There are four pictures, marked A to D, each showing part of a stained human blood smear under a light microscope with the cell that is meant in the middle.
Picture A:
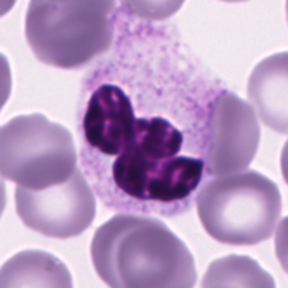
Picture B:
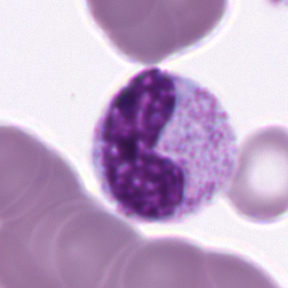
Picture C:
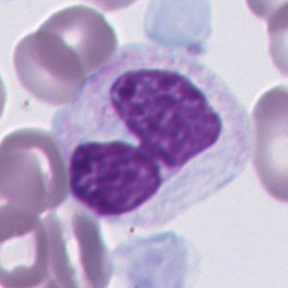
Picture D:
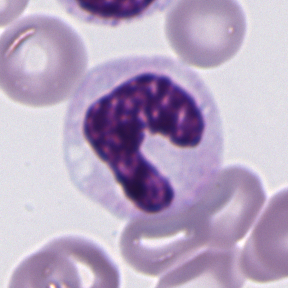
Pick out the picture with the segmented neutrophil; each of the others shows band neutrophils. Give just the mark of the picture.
A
